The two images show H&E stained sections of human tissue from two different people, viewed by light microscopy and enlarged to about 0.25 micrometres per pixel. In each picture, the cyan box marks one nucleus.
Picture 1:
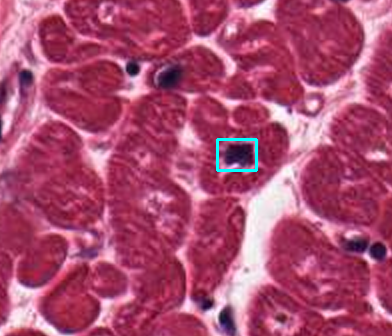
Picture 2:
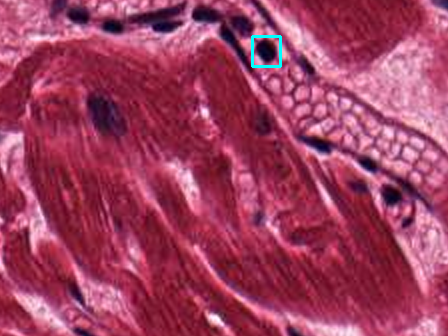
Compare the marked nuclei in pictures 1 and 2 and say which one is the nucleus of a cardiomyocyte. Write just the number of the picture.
1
